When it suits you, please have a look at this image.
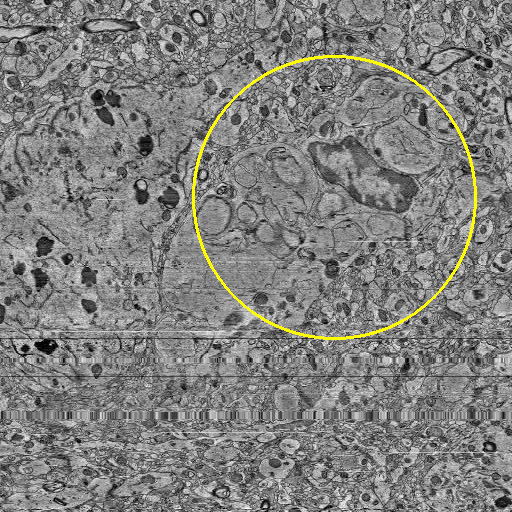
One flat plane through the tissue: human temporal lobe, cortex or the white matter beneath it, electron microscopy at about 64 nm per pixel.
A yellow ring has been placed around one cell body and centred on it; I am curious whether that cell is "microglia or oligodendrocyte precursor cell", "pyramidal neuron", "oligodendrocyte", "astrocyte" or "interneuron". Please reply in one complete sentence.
The ringed cell, a microglial cell or oligodendrocyte precursor cell, has its body at the centre of the yellow ring.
